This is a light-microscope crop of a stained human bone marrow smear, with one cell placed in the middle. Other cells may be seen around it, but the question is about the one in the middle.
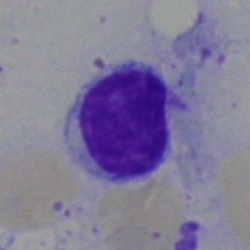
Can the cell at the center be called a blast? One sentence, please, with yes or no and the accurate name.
No, the cell located centrally is a lymphocyte rather than a blast.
